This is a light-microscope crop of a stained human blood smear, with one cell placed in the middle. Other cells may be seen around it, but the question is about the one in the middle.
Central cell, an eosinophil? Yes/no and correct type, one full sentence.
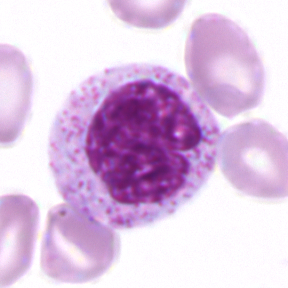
No, in this crop the middle cell is a band neutrophil, not an eosinophil.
